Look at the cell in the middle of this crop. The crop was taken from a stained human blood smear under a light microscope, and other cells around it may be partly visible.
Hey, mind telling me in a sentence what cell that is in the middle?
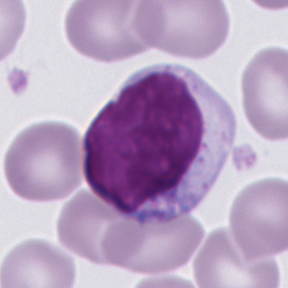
The cell at the middle of the frame should be recorded as a large granular lymphocyte.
